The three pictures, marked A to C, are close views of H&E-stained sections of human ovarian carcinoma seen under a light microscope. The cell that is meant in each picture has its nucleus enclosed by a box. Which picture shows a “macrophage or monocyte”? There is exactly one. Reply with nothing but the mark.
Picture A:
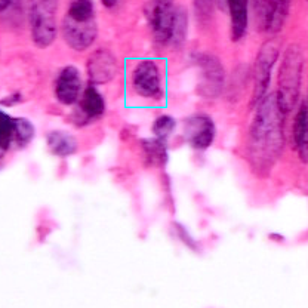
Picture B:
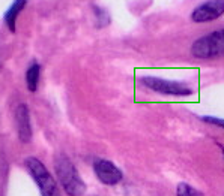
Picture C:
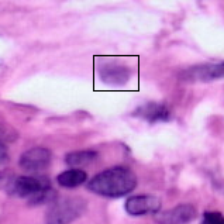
A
